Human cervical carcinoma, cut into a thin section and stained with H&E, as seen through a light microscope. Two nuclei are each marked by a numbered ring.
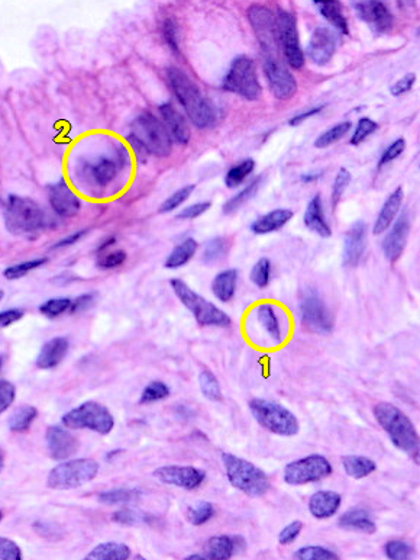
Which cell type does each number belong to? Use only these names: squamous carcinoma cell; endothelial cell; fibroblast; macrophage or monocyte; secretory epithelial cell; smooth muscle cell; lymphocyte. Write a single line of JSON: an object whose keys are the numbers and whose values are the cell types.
{"1": "fibroblast", "2": "secretory epithelial cell"}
